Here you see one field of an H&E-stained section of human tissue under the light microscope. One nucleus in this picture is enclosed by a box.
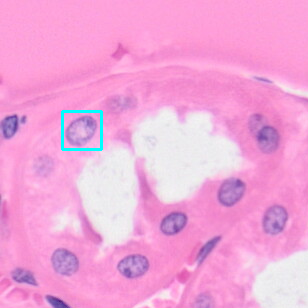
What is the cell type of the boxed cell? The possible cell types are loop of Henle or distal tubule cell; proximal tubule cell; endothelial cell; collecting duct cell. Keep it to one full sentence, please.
For the purposes of cell typing, the boxed cell is categorized as a proximal tubule cell.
